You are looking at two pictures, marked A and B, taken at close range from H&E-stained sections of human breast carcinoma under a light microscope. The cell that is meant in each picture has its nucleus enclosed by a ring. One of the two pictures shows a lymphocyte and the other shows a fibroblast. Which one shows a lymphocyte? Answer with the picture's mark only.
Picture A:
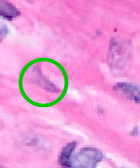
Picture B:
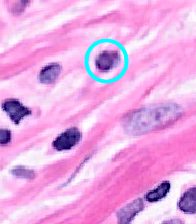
B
